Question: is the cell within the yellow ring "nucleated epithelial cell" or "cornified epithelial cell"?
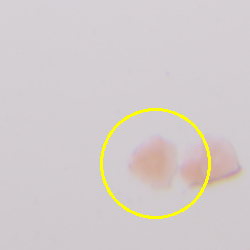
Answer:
cornified epithelial cell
